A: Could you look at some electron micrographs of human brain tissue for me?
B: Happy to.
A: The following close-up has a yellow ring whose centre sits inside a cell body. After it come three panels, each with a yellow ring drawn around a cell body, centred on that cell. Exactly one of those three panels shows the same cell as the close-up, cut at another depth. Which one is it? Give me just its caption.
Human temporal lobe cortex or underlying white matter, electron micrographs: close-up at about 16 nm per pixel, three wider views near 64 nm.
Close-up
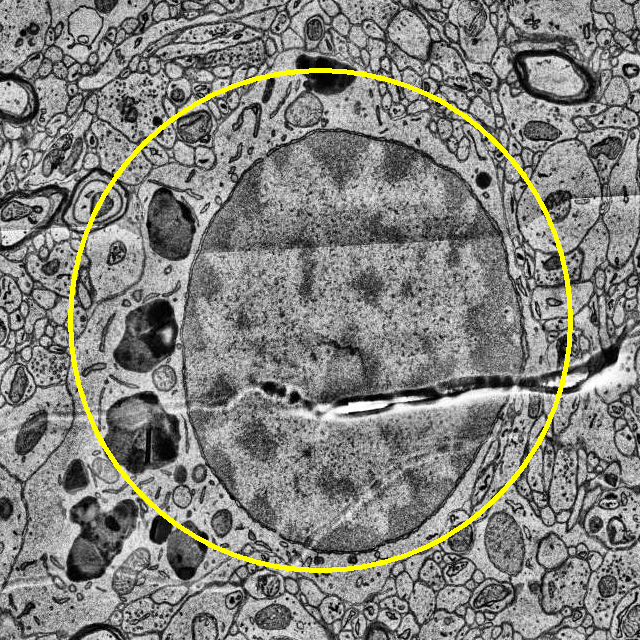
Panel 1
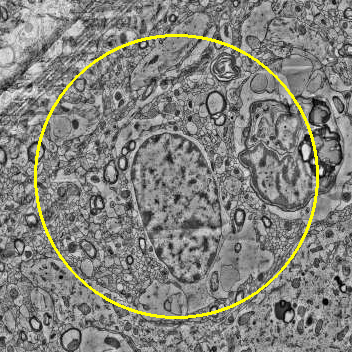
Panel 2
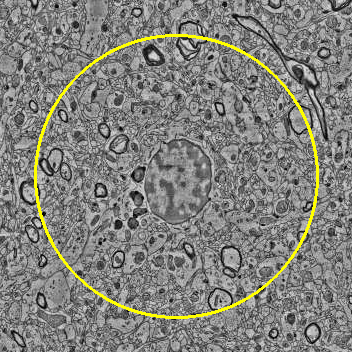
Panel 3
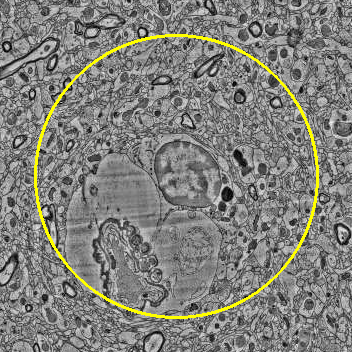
Panel 2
